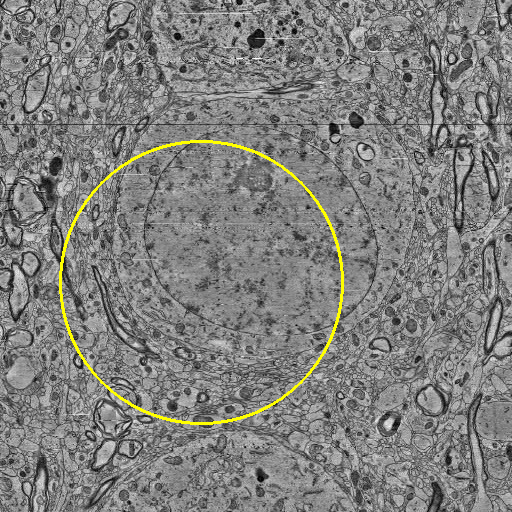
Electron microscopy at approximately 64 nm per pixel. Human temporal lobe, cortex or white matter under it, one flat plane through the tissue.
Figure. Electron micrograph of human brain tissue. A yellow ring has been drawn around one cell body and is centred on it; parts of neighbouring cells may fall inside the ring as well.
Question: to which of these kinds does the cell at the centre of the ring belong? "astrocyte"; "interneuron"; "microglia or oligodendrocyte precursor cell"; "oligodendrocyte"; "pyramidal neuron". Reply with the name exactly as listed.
pyramidal neuron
